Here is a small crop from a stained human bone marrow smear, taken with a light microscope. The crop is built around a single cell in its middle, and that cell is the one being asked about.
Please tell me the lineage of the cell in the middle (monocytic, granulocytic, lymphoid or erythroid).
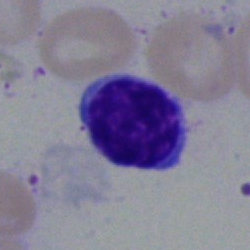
lymphoid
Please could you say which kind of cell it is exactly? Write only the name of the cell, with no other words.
lymphocyte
